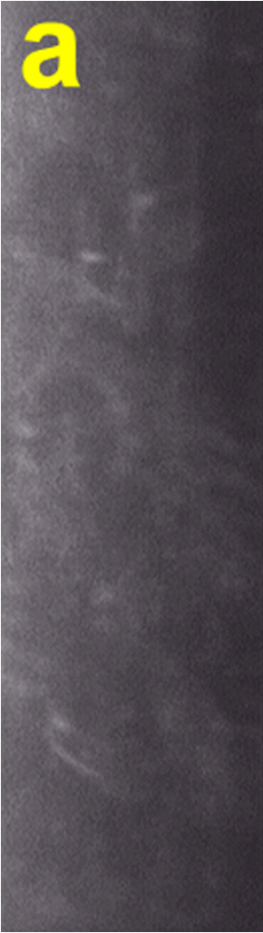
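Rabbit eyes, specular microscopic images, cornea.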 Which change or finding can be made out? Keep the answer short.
Denuded of endothelium.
